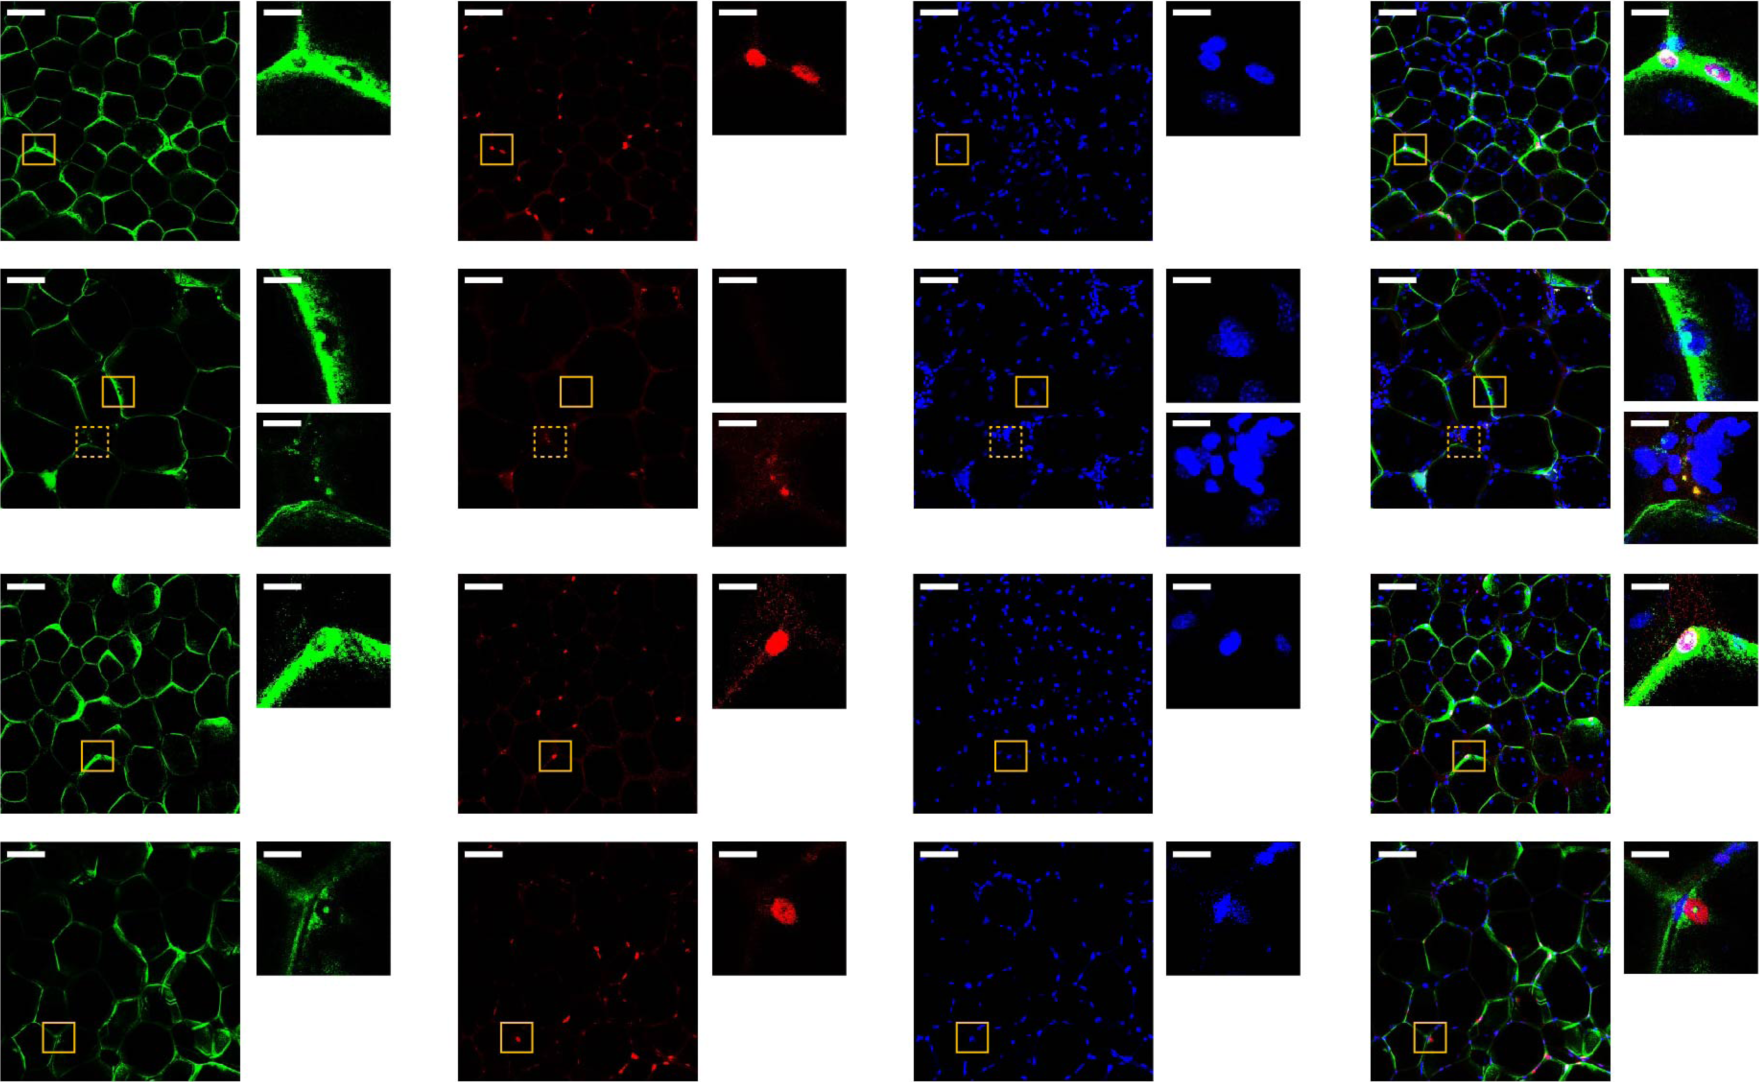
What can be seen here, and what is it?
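Whole-mount adipose tissue with large polygonal adipocytes outlined by thin green rims, brighter at the corners where cells meet, and blue nuclei scattered throughout. Enlarged insets show single oval nuclei pressed into the green rim of an adipocyte, red and overlapping the blue nucleus in most rows. In one row the adipocytes are larger, the red nuclear spots are missing, and dense clusters of blue nuclei gather between cells.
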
